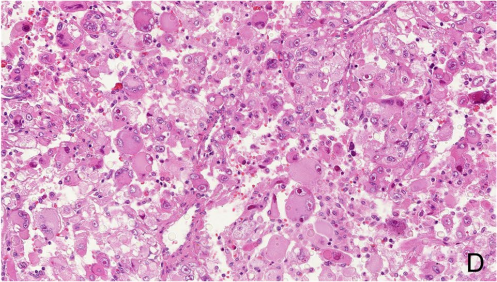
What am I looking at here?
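Loosely arranged epithelioid tumor cells are mixed with clusters of much larger giant tumor cells. Clear spaces separate many of the cells.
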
